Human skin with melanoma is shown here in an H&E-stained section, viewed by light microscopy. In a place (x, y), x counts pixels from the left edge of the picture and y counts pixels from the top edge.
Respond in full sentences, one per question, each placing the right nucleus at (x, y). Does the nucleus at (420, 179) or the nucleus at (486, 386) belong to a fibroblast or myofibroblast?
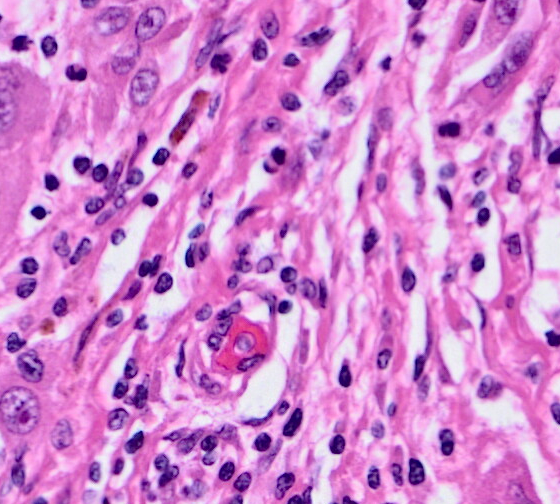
In this pair, the nucleus at (420, 179) belongs to a fibroblast or myofibroblast.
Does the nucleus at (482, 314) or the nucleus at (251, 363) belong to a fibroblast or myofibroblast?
The nucleus at (482, 314), rather than the other one, belongs to a fibroblast or myofibroblast.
